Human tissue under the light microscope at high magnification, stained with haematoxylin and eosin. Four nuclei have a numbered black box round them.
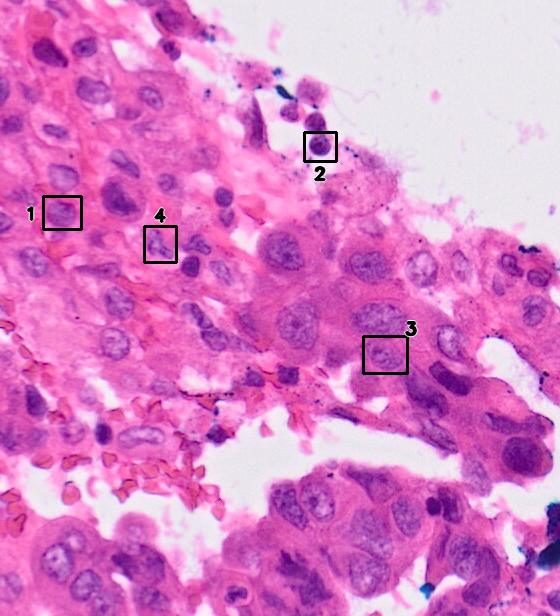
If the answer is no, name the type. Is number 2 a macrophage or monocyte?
No, it is a lymphocyte.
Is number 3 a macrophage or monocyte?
No, it is a carcinoma cell.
